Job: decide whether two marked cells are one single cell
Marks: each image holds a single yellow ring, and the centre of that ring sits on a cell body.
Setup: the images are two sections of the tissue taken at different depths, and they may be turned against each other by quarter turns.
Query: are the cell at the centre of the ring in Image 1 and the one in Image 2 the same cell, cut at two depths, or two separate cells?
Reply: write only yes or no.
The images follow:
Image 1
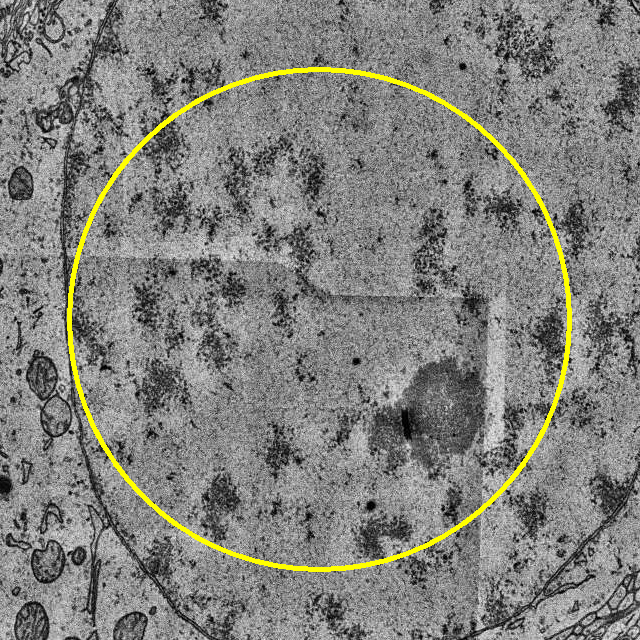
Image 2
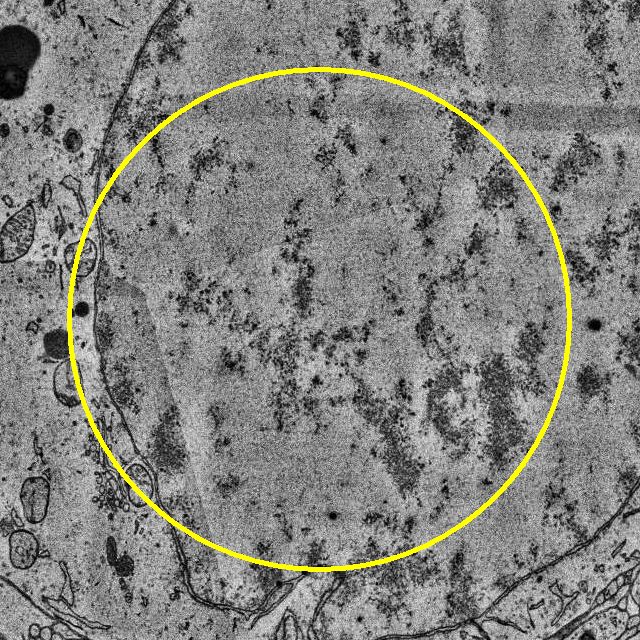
yes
